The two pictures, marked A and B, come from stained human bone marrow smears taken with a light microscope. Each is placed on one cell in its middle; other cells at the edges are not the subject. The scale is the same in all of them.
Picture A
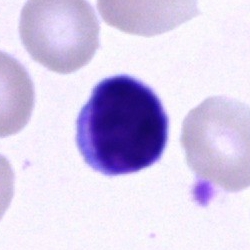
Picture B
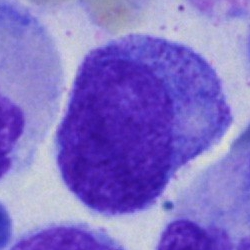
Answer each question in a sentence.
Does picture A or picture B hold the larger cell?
It is the cell in picture B, about 3 times as large in area as the cell in picture A.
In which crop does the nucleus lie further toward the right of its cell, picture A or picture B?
Seen within its cell, the nucleus in picture A lies further toward the right.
